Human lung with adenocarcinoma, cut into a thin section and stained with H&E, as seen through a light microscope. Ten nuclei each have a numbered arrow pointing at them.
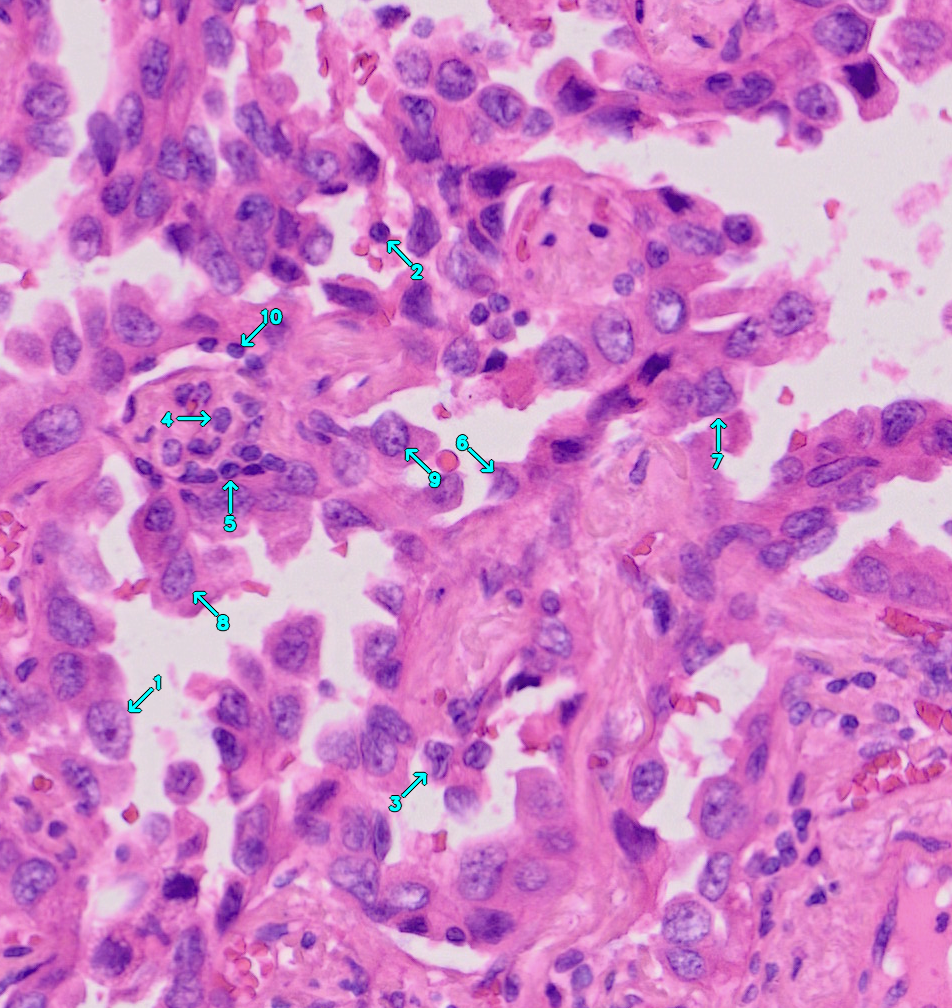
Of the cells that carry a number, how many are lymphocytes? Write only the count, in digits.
4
